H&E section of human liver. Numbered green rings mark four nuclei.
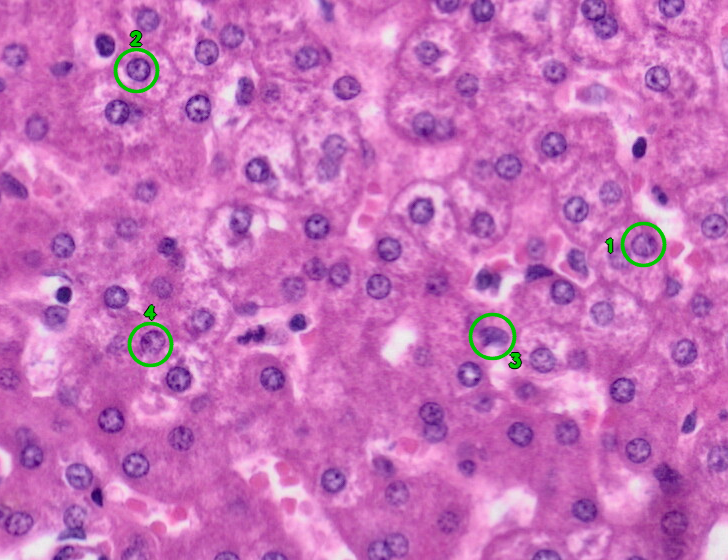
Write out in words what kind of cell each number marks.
Cell 1 is a hepatocyte, cell 2 is a hepatocyte, cell 3 is an endothelial cell and cell 4 is a hepatocyte.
